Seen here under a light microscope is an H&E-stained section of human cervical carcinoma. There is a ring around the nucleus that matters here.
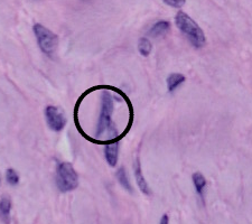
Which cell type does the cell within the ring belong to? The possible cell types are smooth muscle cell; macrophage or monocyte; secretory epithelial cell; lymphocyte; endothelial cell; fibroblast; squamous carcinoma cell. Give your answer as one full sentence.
This is a fibroblast.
